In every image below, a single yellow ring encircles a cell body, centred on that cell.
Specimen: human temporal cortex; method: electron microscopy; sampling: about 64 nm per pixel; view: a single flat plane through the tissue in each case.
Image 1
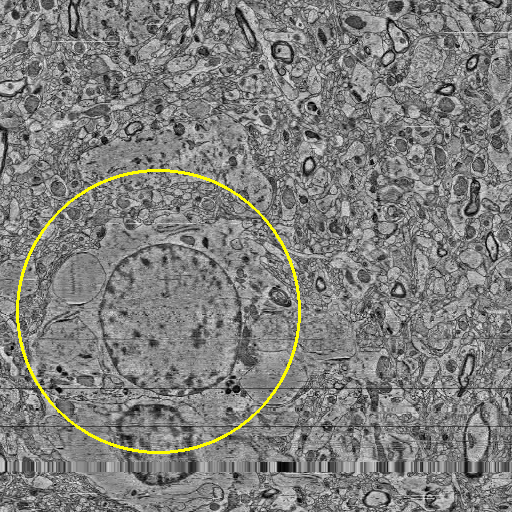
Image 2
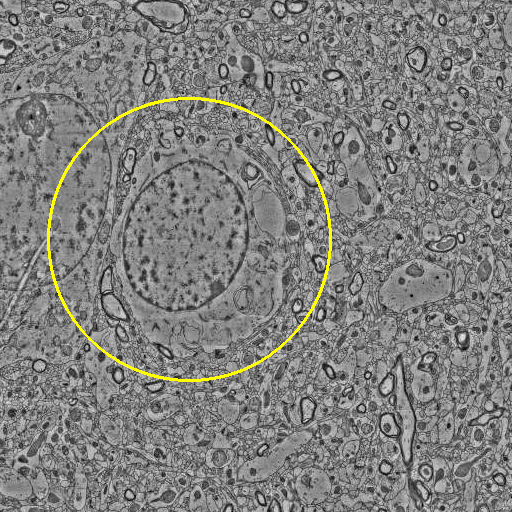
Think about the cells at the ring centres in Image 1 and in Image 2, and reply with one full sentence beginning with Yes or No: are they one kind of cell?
Yes, the cells centred in the rings of Image 1 and Image 2 are one kind of cell.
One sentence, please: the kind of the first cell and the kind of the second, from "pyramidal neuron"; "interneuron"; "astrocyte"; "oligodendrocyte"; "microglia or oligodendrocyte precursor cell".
Both the first and the second picture show an astrocyte in the ring.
